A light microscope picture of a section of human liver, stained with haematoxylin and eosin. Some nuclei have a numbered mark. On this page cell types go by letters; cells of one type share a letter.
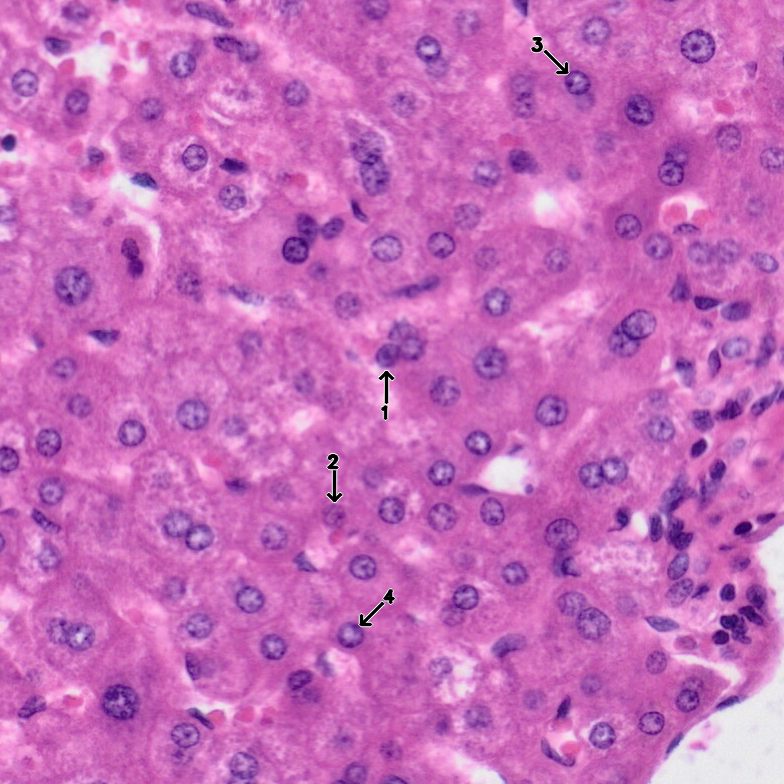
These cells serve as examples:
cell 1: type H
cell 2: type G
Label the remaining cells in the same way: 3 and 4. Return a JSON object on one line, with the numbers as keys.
{"3": "type G", "4": "type G"}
